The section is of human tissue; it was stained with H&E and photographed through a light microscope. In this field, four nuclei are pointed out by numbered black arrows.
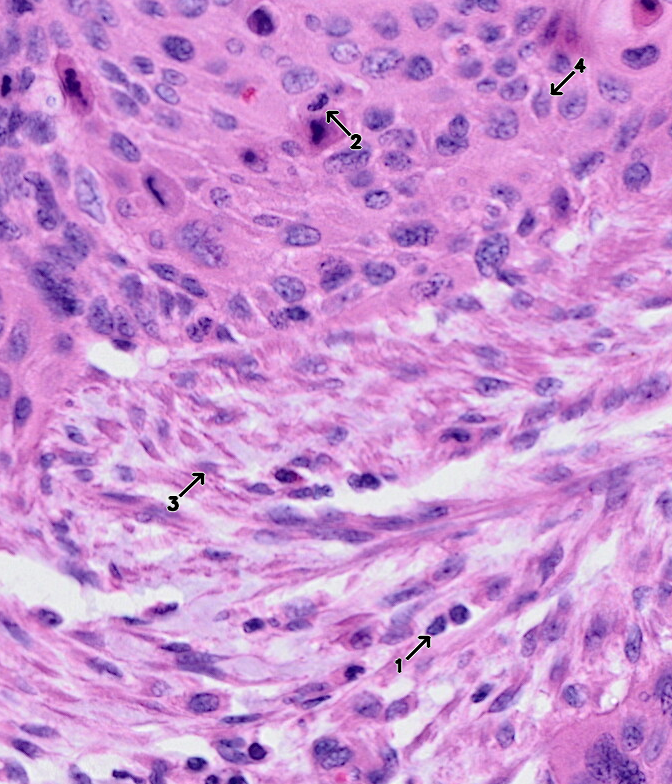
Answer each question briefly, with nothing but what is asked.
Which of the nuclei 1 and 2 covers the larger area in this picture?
1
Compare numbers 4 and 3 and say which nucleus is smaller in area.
3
